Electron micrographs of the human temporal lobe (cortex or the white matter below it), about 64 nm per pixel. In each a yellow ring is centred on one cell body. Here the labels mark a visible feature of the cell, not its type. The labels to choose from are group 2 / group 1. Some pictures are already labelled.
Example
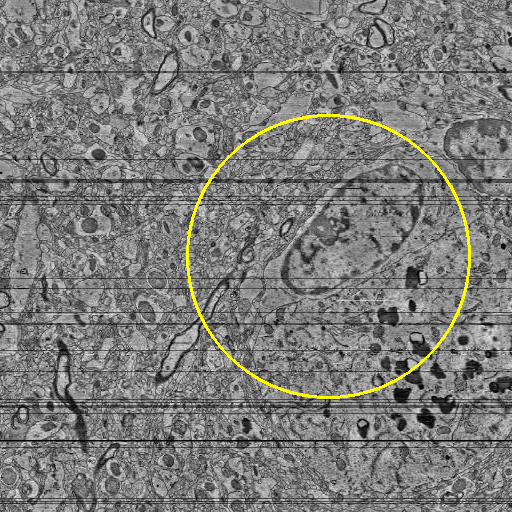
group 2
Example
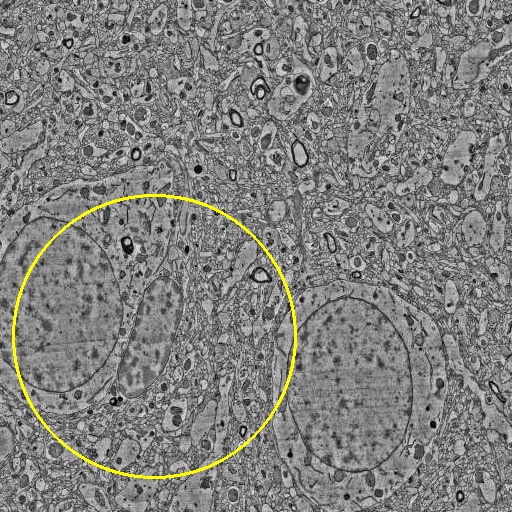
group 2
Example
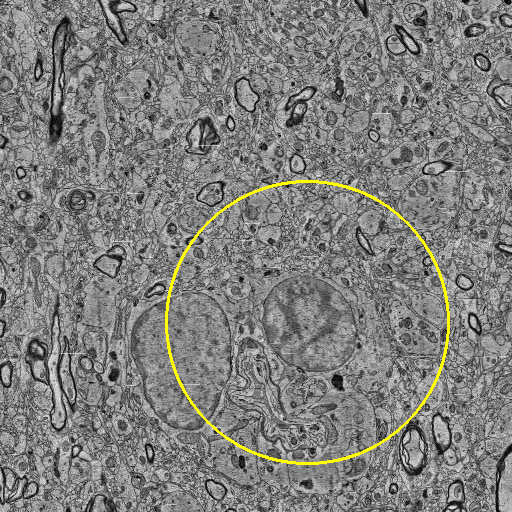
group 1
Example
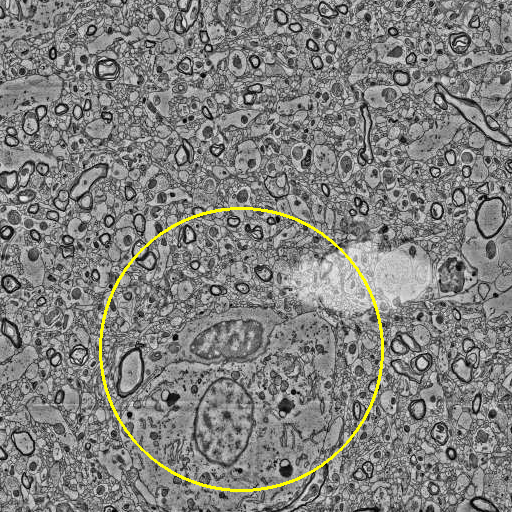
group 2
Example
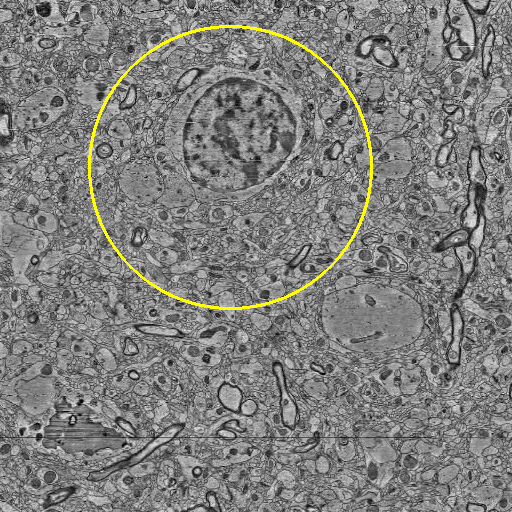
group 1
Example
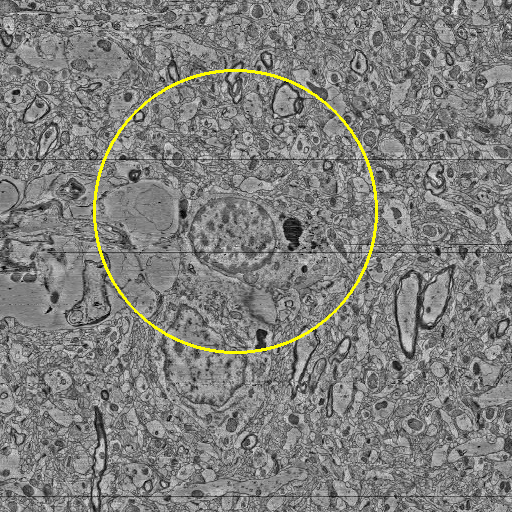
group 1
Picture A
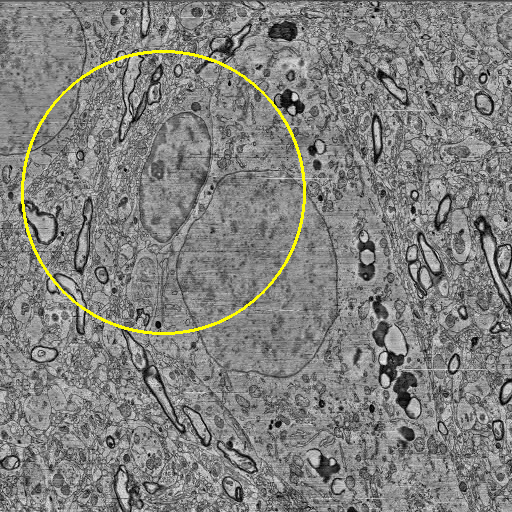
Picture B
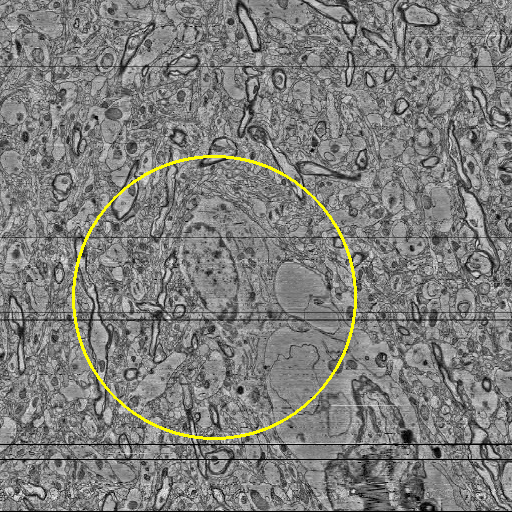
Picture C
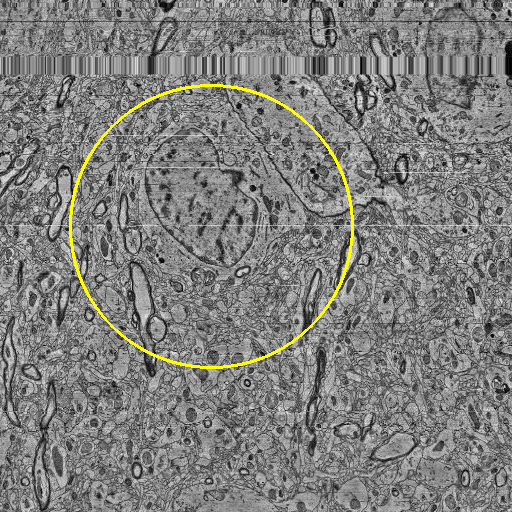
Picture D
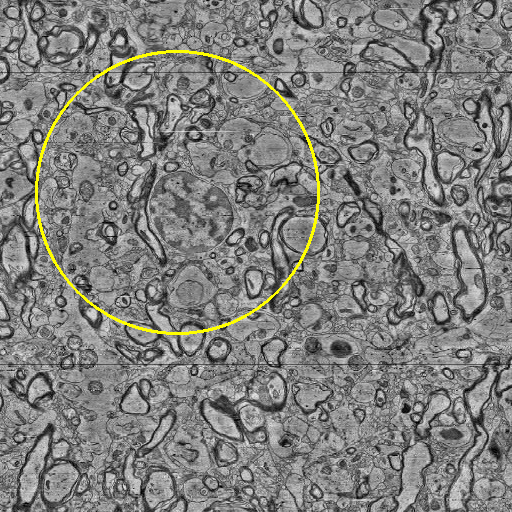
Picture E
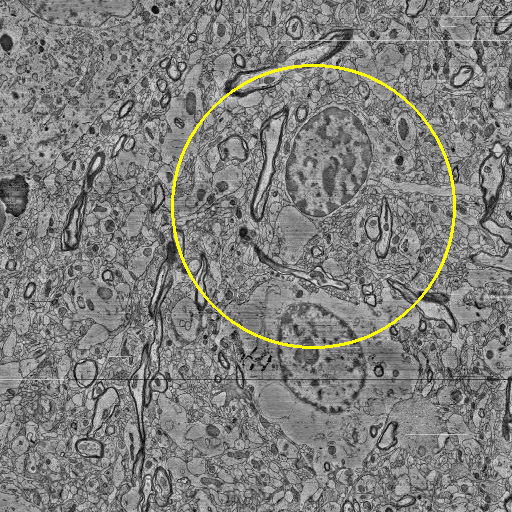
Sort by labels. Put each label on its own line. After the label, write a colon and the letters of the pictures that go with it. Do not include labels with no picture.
group 2: A, B, C
group 1: D, E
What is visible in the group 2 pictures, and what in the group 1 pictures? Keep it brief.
In group 2: clearly elongated nuclei. In group 1: round or nearly round nuclei.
